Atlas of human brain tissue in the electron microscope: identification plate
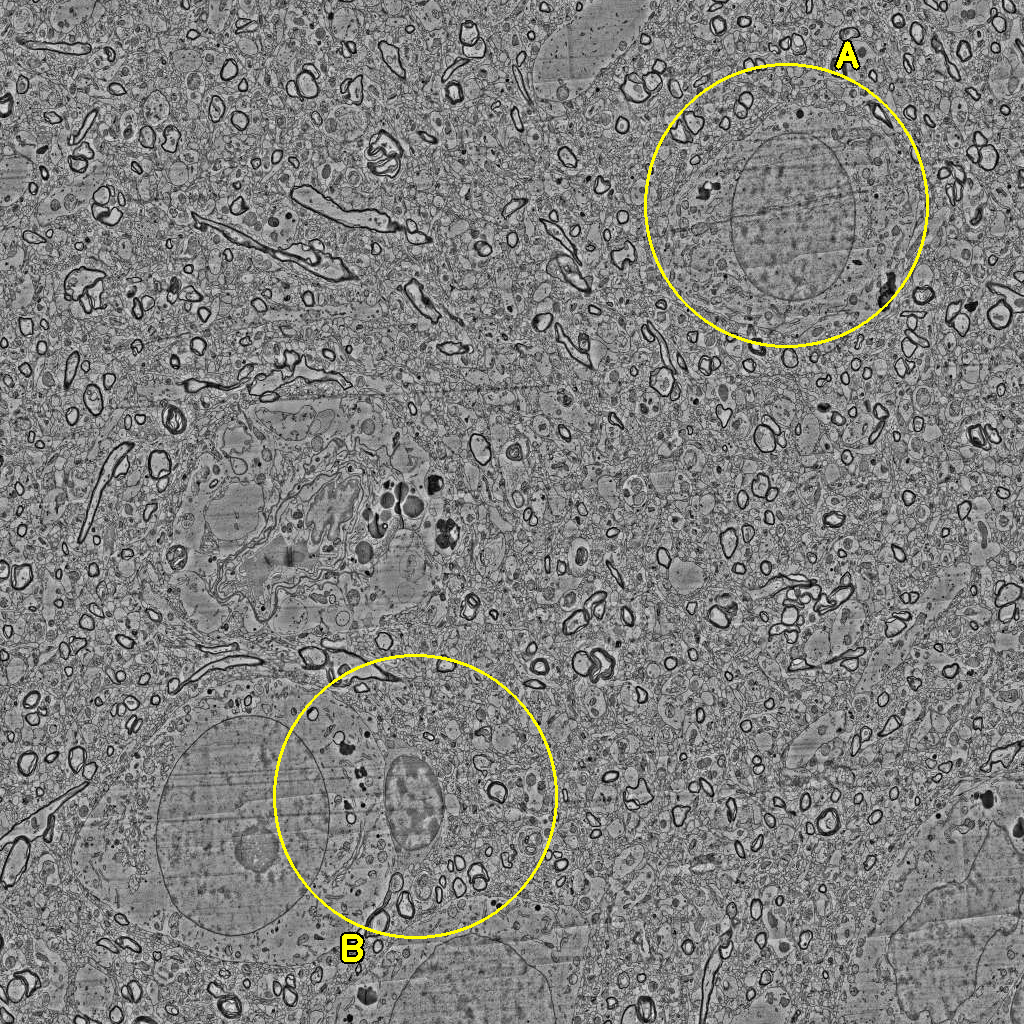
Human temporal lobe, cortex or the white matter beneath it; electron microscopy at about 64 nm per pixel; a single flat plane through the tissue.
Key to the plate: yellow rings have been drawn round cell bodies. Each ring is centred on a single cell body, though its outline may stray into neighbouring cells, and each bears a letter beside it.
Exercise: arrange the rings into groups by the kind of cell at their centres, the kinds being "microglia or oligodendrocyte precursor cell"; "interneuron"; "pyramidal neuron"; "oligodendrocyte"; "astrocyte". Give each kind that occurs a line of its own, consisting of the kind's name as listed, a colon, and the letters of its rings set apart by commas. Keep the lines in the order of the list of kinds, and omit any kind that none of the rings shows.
interneuron: A
oligodendrocyte: B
